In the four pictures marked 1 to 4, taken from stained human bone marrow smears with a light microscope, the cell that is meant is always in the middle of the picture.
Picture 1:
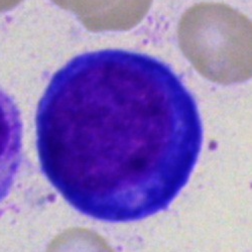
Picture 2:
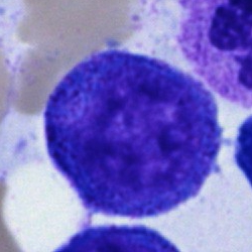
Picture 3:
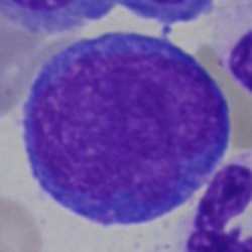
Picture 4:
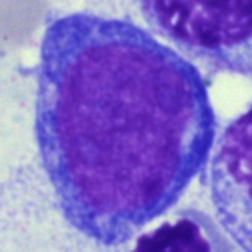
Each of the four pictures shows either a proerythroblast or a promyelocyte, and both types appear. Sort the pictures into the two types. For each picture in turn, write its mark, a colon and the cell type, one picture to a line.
1: proerythroblast
2: promyelocyte
3: proerythroblast
4: proerythroblast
